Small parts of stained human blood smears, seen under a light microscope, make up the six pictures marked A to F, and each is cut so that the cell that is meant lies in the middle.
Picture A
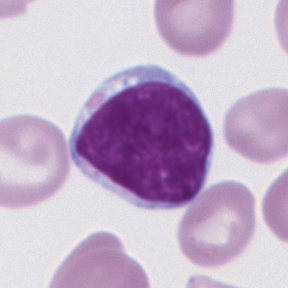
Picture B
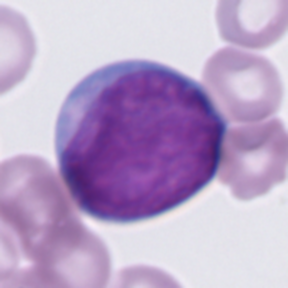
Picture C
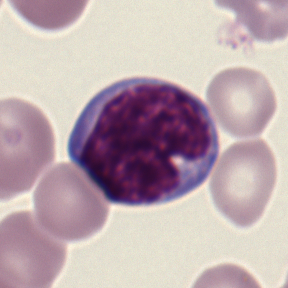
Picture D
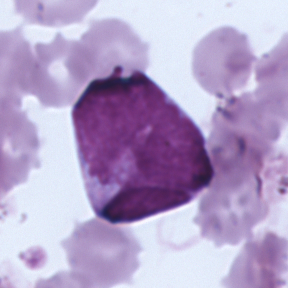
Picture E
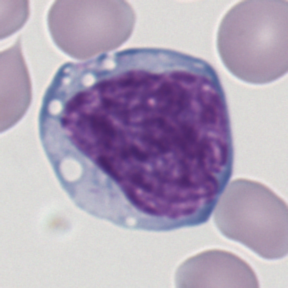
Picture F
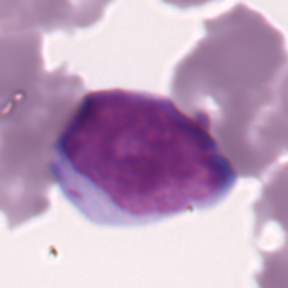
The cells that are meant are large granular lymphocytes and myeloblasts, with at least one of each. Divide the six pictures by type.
A: large granular lymphocyte
B: myeloblast
C: large granular lymphocyte
D: myeloblast
E: myeloblast
F: myeloblast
